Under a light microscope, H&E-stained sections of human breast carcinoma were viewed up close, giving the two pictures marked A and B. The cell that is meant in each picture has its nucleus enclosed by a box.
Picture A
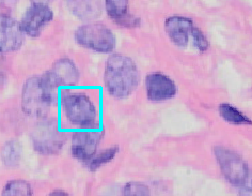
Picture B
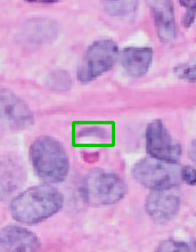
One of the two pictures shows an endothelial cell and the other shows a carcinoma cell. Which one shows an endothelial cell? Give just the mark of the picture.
B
